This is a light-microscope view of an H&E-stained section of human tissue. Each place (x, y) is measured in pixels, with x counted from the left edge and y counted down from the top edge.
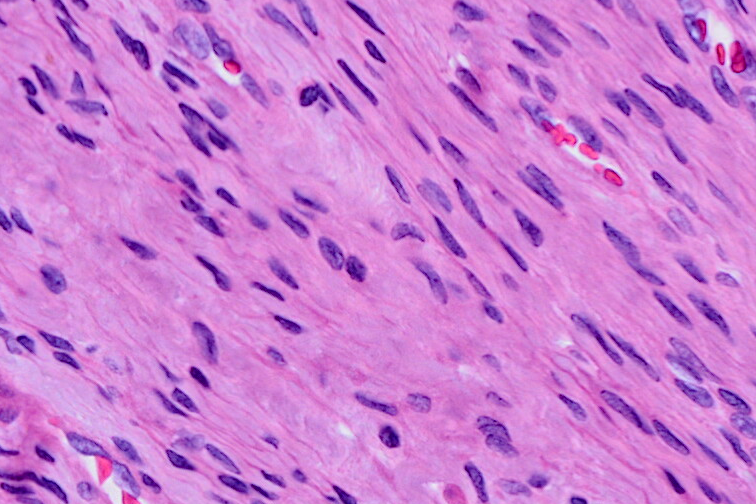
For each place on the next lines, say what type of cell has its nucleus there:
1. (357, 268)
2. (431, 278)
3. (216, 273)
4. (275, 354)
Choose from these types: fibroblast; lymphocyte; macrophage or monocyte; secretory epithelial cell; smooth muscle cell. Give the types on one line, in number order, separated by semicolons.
lymphocyte; fibroblast; fibroblast; smooth muscle cell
